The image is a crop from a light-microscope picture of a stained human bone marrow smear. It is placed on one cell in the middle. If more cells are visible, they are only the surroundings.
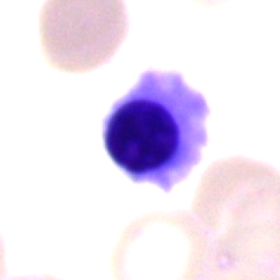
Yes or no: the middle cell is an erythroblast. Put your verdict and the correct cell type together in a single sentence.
Yes, the cell in the center of the field is an erythroblast.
